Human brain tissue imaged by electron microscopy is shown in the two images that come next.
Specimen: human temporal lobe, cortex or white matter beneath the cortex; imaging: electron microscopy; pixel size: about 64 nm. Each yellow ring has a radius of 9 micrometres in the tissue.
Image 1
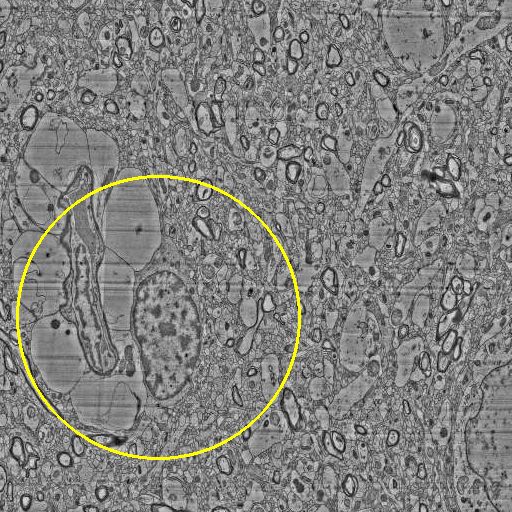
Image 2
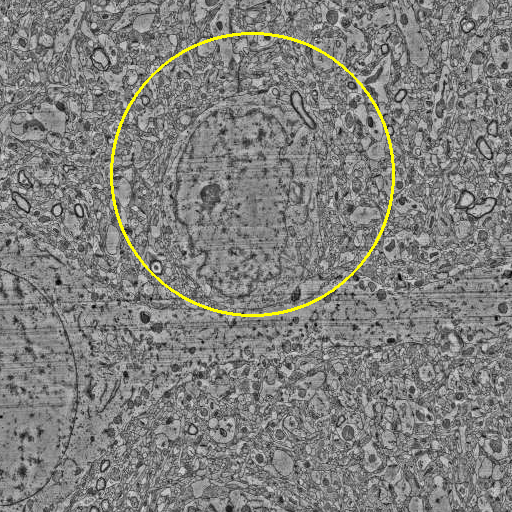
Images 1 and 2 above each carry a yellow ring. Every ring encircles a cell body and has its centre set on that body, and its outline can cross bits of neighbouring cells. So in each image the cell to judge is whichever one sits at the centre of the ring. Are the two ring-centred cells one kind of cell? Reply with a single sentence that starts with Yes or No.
No, in Image 1 and Image 2 the cells at the centres of their rings fall into two types.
